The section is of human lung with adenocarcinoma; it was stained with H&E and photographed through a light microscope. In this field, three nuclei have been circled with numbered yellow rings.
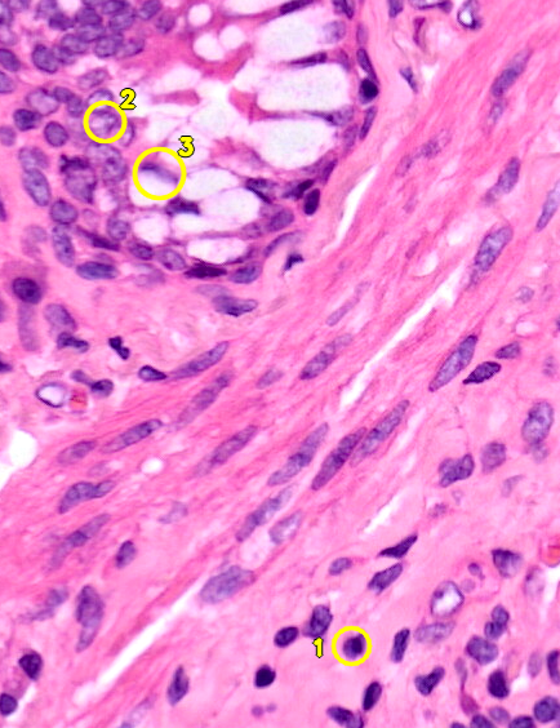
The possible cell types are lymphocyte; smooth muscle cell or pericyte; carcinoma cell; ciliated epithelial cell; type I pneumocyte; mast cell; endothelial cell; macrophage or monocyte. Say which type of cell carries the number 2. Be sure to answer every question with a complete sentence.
The nucleus labeled 2 belongs to a ciliated epithelial cell.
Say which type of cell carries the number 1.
Cell 1 should be recorded as a lymphocyte.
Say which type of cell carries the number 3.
It is as a ciliated epithelial cell that the cell numbered 3 is identified.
